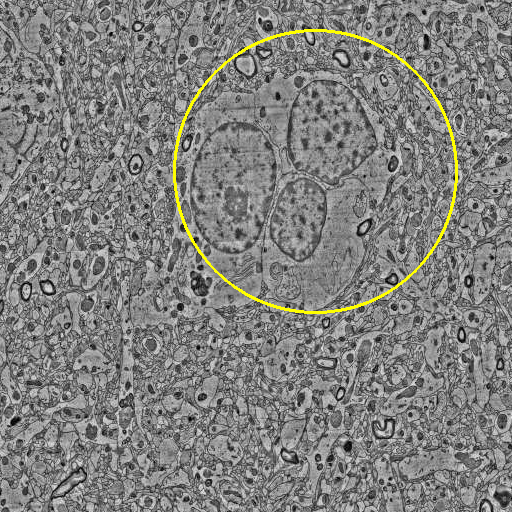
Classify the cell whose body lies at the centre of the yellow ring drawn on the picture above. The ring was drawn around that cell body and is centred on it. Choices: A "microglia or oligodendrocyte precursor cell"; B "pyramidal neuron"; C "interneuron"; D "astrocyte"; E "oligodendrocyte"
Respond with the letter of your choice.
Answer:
D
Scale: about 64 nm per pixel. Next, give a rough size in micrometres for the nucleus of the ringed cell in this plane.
The nucleus is approximately 7 micrometers long by 6 micrometers wide in this plane.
